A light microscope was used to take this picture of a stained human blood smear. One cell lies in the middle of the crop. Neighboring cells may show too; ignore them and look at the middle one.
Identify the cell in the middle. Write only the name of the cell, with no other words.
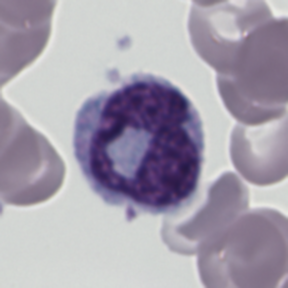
monocyte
